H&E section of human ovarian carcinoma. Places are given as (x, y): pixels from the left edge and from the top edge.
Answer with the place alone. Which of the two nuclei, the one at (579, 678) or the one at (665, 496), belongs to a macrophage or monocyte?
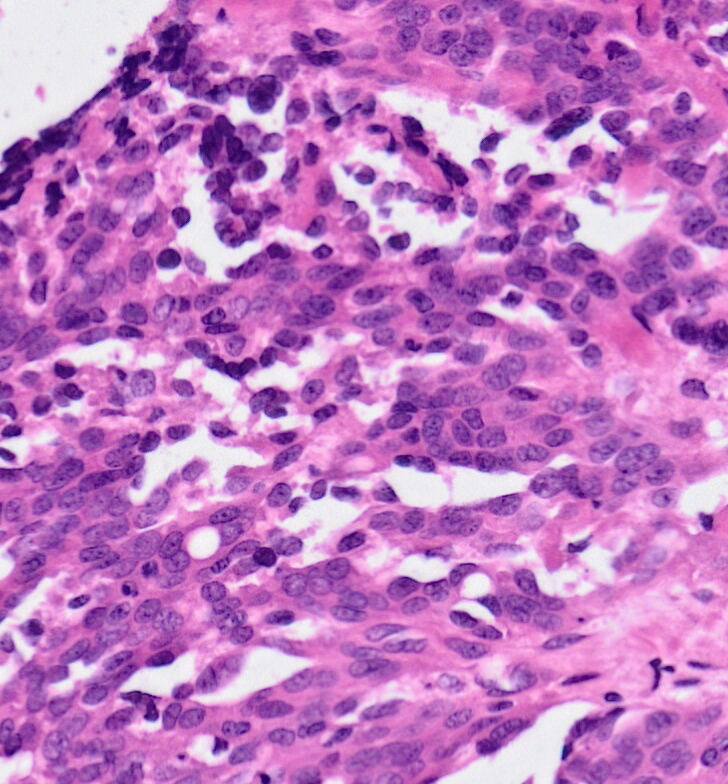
(665, 496)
